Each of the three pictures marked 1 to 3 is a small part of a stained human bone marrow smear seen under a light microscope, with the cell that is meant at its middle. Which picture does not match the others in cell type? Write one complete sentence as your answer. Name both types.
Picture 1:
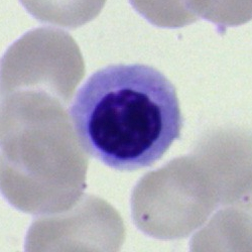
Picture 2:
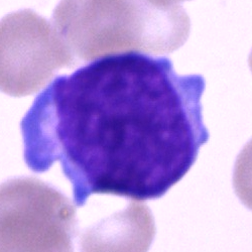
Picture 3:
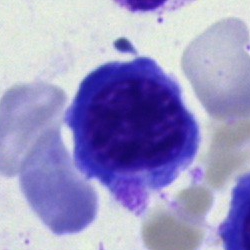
All pictures except 2 show erythroblasts; picture 2 shows a blast.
